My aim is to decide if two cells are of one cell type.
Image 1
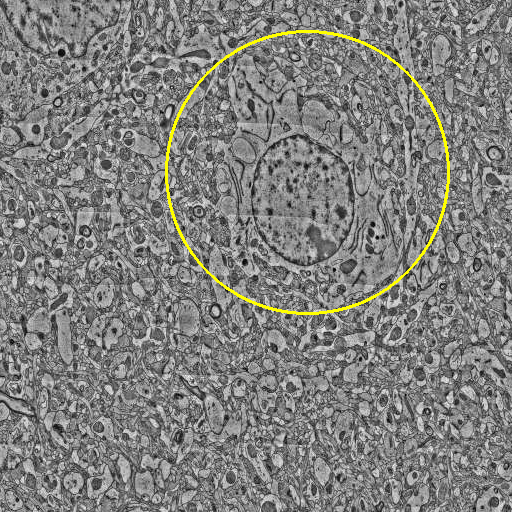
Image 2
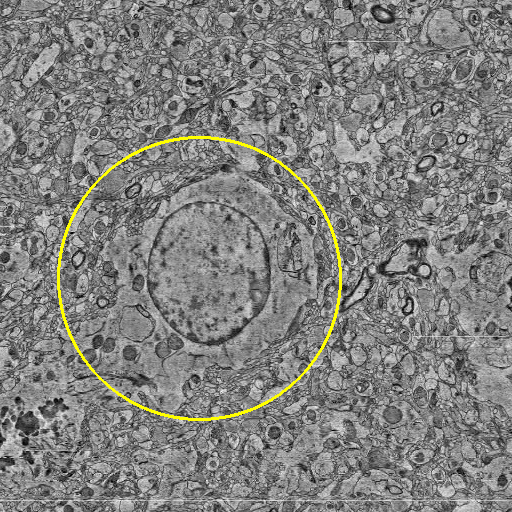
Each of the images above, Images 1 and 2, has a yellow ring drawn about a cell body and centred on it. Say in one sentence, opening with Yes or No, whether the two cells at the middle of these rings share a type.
Yes, in Images 1 and 2 the cells at the middle of the rings share one type.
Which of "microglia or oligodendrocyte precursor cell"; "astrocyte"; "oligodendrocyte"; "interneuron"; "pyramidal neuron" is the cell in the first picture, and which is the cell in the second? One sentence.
Both the first and the second picture show an astrocyte in the ring.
